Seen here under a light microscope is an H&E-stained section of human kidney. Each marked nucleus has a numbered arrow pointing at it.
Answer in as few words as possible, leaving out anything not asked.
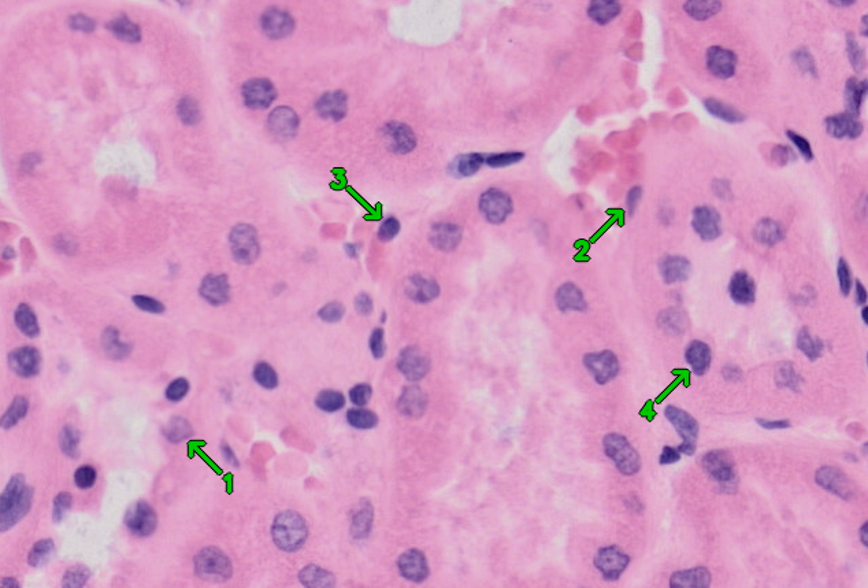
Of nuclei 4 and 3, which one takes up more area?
4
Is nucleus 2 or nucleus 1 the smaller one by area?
2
